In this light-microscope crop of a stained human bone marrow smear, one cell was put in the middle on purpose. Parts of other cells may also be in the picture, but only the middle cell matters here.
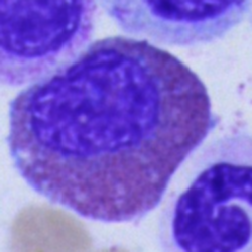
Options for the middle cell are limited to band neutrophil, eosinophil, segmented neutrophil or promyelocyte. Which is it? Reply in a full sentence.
The cell that lies at the centre of the crop is an eosinophil.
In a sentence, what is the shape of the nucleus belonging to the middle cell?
In this cell the nucleus is a solitary compact mass, round, oval or kidney-shaped.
